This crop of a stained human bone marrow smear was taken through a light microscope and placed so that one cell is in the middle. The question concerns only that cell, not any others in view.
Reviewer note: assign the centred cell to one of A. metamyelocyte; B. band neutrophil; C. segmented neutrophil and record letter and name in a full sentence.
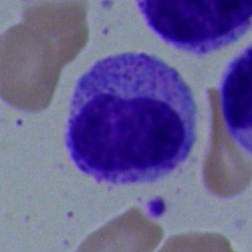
The cell in the middle is a metamyelocyte, and so option A is correct.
